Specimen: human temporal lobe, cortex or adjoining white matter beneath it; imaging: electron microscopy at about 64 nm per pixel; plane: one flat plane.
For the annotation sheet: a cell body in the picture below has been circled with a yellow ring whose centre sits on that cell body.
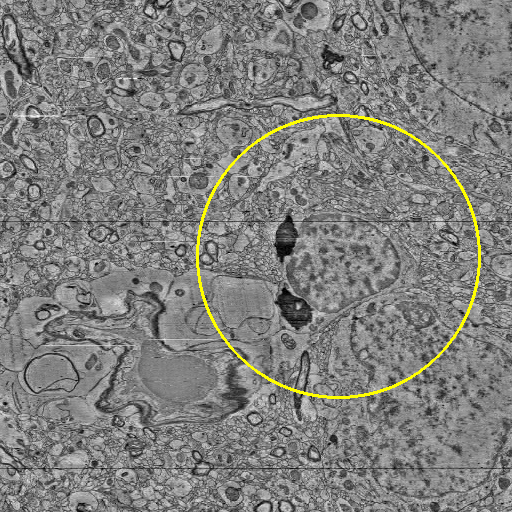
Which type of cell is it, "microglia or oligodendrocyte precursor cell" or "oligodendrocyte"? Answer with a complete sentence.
The circled cell is an oligodendrocyte.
